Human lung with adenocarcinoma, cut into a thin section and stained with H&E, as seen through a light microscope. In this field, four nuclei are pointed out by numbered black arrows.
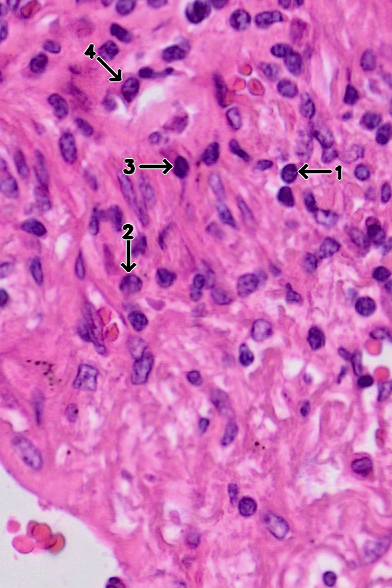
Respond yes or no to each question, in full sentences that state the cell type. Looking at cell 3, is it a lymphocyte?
No, cell 3 isn't a lymphocyte; it's a plasma cell.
